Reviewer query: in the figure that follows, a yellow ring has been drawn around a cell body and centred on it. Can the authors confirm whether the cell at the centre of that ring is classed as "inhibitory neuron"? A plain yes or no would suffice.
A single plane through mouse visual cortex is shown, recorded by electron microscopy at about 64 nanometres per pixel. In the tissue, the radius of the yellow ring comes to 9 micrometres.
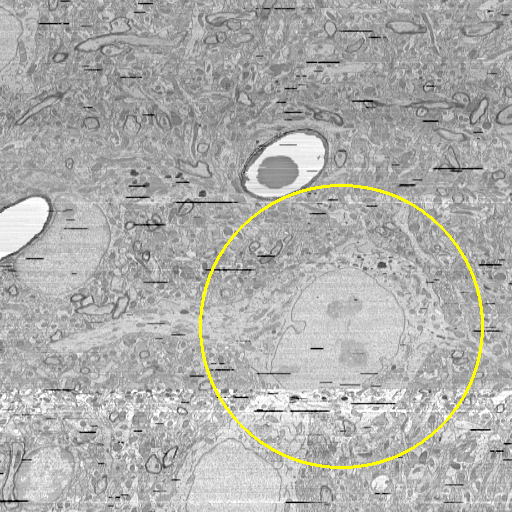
no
